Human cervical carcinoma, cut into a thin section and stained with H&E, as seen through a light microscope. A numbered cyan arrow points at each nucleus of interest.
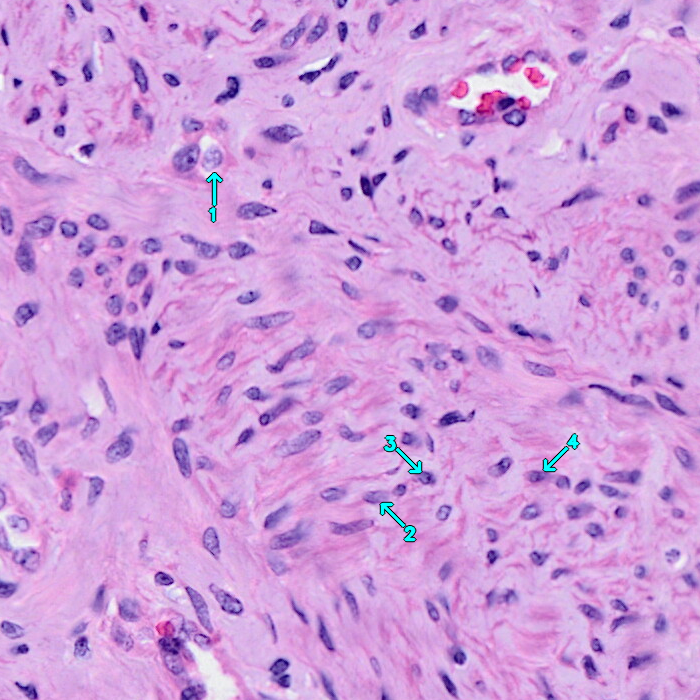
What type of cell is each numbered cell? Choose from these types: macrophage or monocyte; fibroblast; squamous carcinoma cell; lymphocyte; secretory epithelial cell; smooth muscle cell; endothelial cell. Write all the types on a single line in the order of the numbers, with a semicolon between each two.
endothelial cell; smooth muscle cell; smooth muscle cell; smooth muscle cell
